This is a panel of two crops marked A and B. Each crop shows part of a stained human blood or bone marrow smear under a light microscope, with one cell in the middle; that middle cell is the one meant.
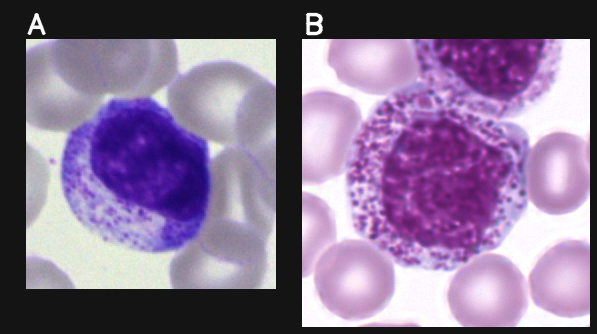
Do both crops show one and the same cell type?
yes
